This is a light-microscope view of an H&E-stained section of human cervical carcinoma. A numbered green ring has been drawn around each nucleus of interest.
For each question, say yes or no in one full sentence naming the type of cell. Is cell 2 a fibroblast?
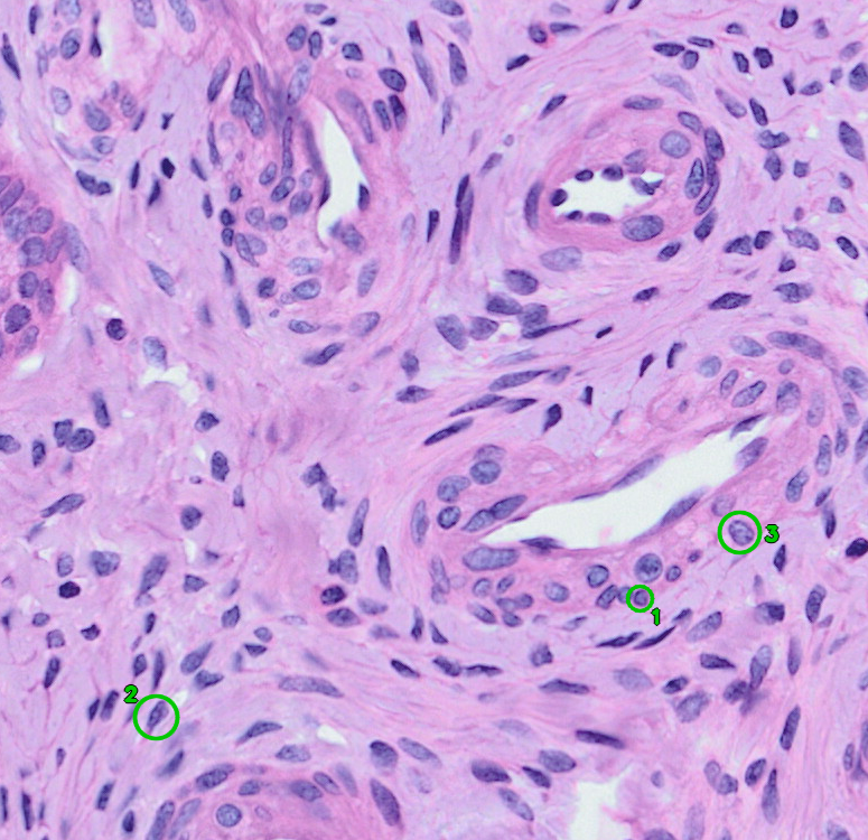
Yes, the cell numbered 2 in this tissue is a fibroblast.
